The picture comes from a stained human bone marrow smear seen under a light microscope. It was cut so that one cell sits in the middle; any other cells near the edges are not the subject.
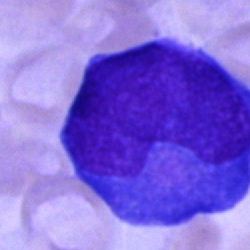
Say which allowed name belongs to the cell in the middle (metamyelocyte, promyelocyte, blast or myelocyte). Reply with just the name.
blast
